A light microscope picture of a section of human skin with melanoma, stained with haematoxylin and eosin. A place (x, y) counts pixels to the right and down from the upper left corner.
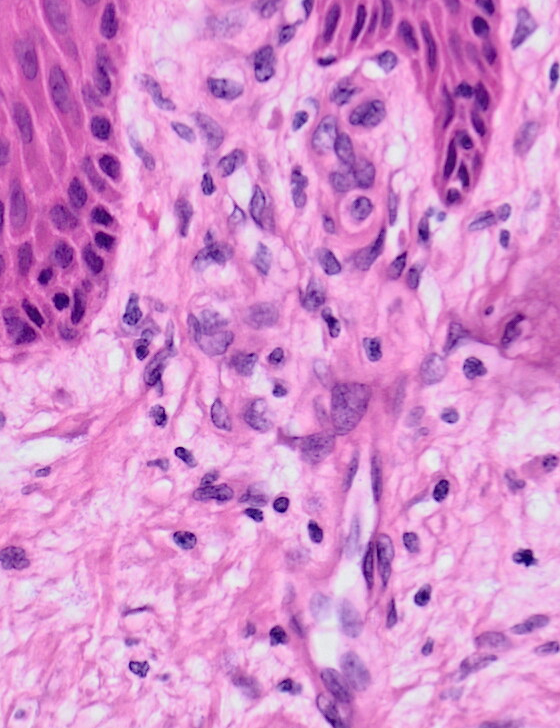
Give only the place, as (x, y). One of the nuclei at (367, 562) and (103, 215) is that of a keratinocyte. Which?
(103, 215)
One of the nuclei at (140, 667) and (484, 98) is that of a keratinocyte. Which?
(484, 98)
